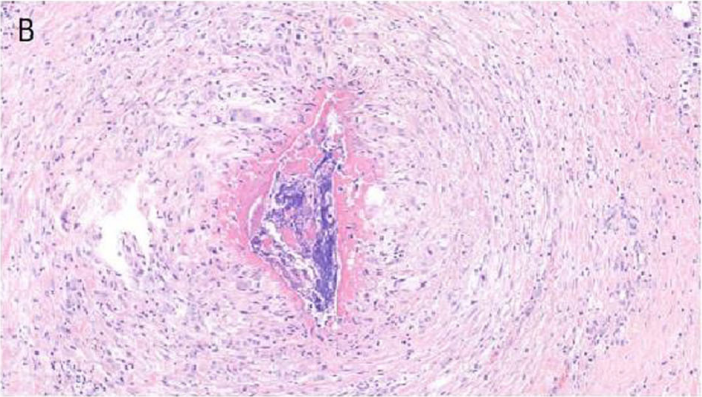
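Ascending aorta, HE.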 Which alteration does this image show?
Luminal fibrotic narrowing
